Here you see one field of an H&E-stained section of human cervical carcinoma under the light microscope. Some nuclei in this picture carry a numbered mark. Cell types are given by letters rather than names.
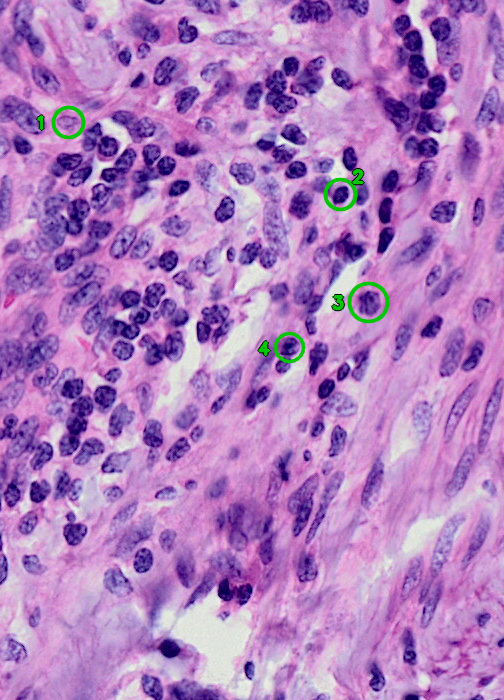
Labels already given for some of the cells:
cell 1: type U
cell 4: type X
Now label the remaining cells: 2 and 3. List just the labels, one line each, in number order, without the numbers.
type X
type X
